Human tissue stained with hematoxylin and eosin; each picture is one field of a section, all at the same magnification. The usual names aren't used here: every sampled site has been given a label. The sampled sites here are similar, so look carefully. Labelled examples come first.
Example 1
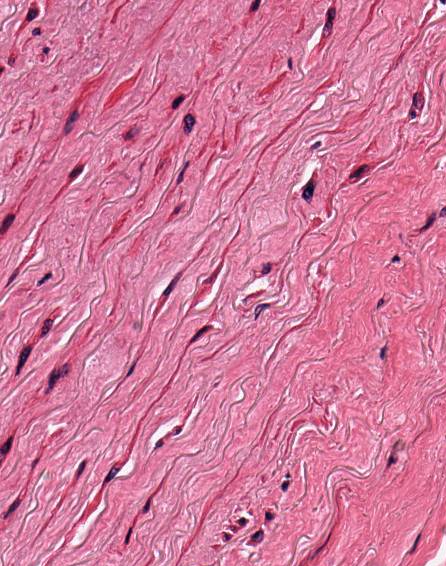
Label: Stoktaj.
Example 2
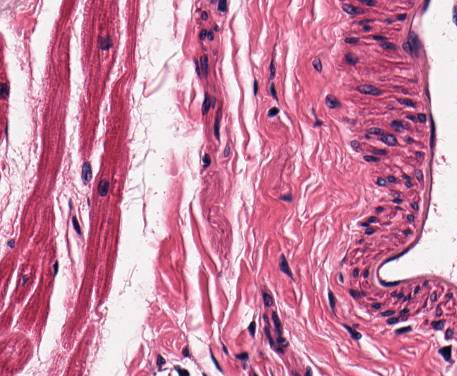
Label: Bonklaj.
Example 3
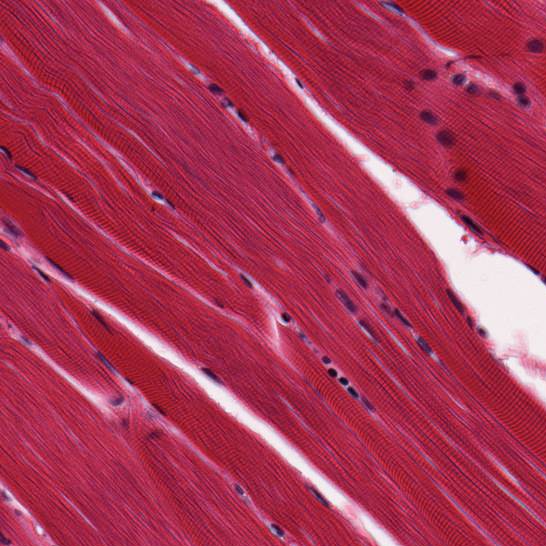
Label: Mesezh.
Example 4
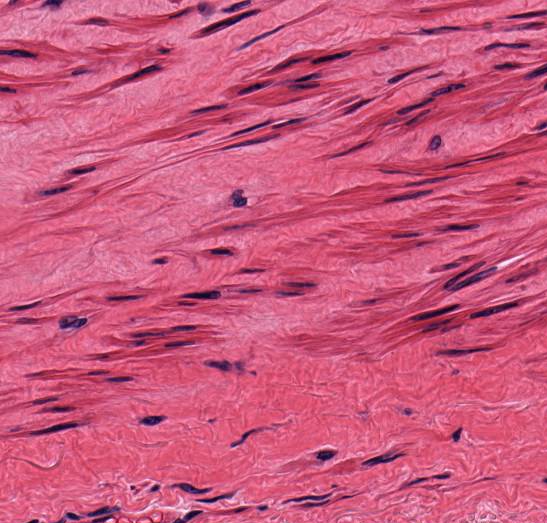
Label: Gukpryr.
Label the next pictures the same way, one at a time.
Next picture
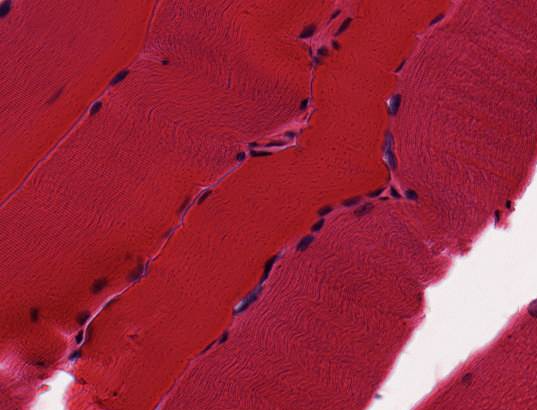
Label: Mesezh.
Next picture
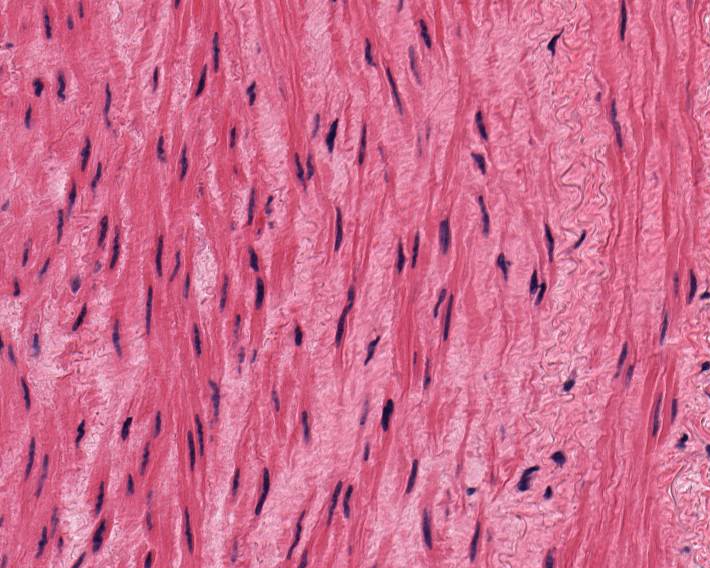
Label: Gukpryr.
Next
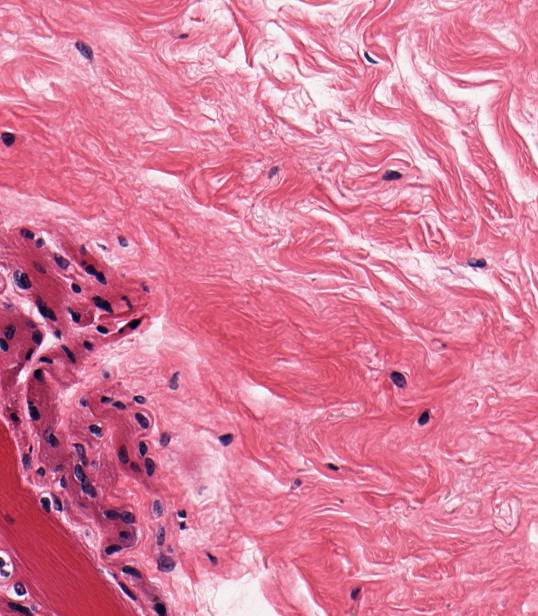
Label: Mesezh.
